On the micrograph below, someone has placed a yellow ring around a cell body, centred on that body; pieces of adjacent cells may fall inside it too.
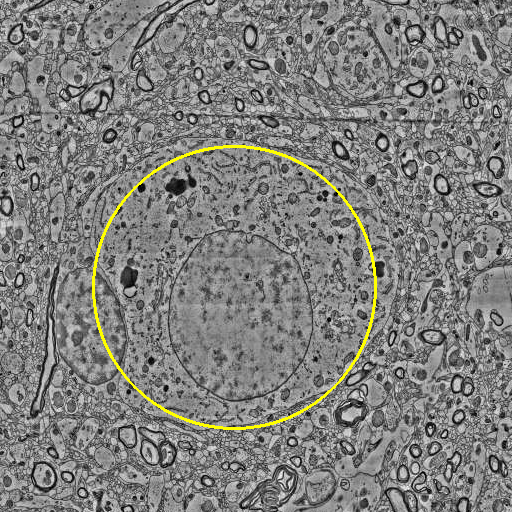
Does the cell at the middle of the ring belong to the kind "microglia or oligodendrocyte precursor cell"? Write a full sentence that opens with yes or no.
No, the micrograph shows another kind of cell at the ring's centre.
